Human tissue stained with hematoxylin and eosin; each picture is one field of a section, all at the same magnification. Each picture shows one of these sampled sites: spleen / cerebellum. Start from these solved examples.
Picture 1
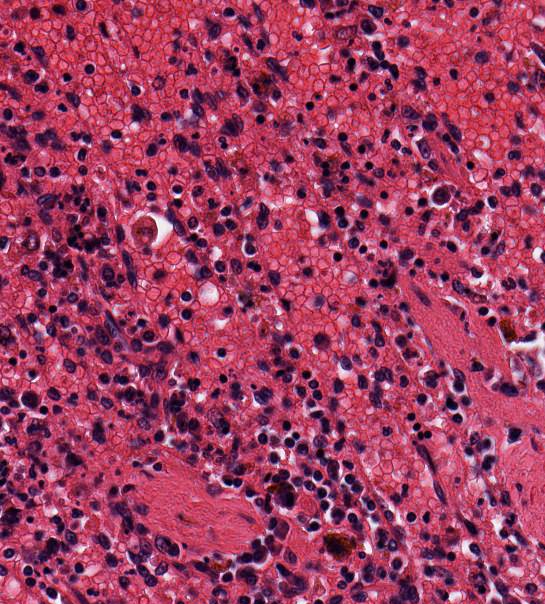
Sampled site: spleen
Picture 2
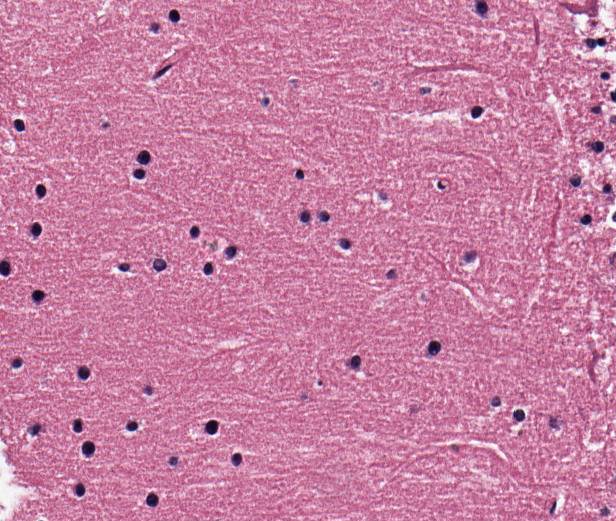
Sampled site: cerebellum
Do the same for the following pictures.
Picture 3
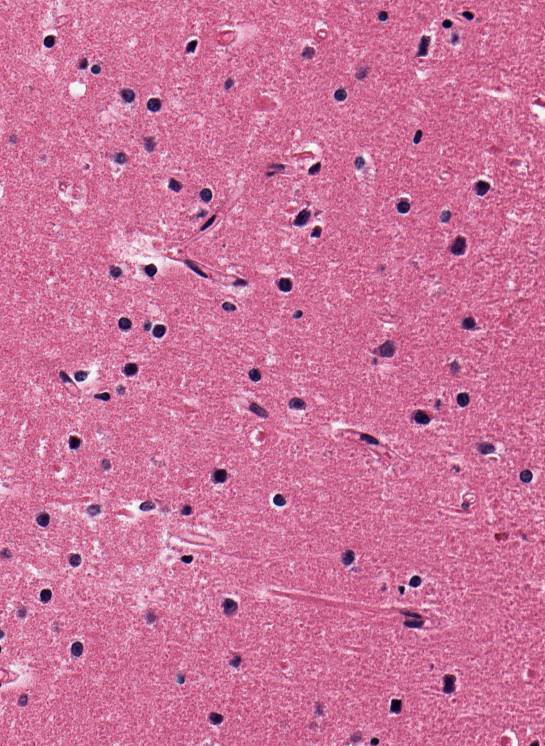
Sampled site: cerebellum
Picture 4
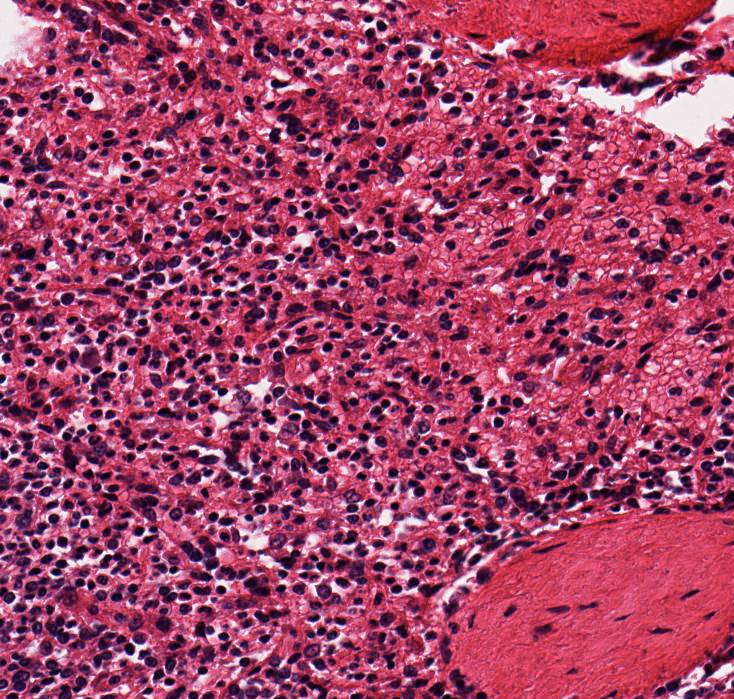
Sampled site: spleen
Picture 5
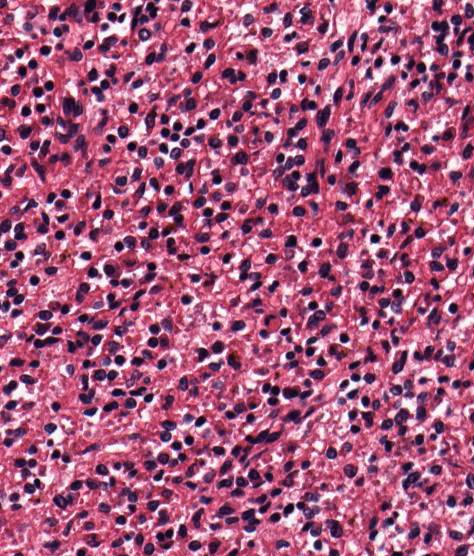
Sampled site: spleen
